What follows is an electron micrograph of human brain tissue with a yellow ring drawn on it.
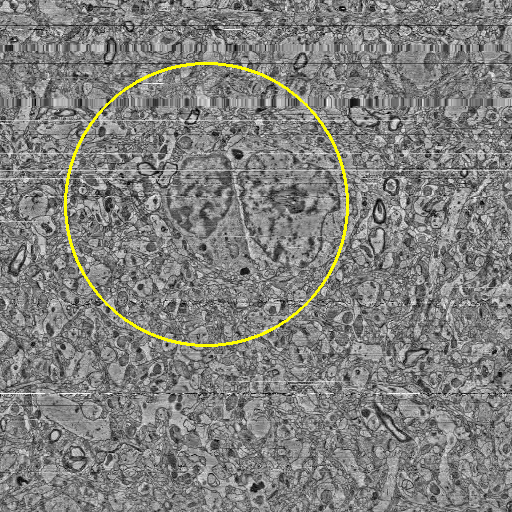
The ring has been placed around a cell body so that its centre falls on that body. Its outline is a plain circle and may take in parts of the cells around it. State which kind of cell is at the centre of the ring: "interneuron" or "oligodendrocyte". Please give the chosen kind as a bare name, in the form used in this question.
oligodendrocyte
